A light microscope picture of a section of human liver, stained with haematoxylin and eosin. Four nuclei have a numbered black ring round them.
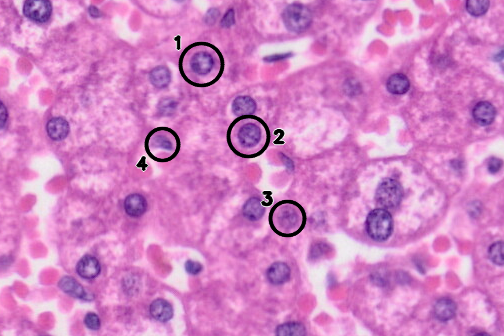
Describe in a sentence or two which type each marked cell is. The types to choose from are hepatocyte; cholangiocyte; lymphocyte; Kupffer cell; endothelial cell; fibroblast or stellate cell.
Cells 1, 2 and 3 are hepatocytes. Cell 4 is an endothelial cell.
